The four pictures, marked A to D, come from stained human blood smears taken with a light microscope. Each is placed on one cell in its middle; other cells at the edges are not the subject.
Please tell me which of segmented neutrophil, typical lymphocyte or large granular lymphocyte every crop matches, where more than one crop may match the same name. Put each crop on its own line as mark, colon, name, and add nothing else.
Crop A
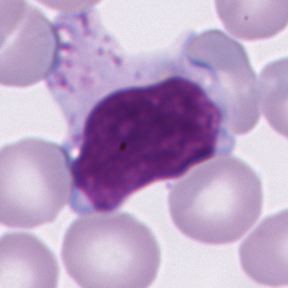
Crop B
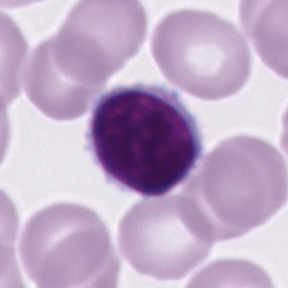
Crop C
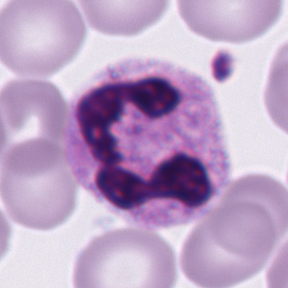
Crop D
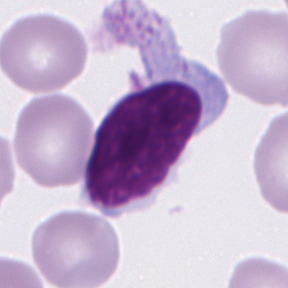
A: large granular lymphocyte
B: typical lymphocyte
C: segmented neutrophil
D: large granular lymphocyte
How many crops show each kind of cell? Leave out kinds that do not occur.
large granular lymphocyte: 2
typical lymphocyte: 1
segmented neutrophil: 1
